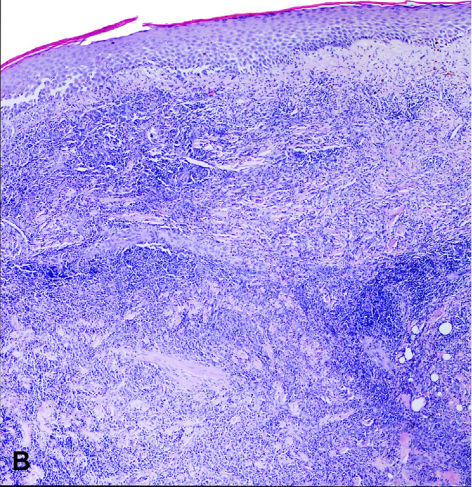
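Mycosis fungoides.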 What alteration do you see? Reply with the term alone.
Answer: Dense pandermal lymphocytic infiltrate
